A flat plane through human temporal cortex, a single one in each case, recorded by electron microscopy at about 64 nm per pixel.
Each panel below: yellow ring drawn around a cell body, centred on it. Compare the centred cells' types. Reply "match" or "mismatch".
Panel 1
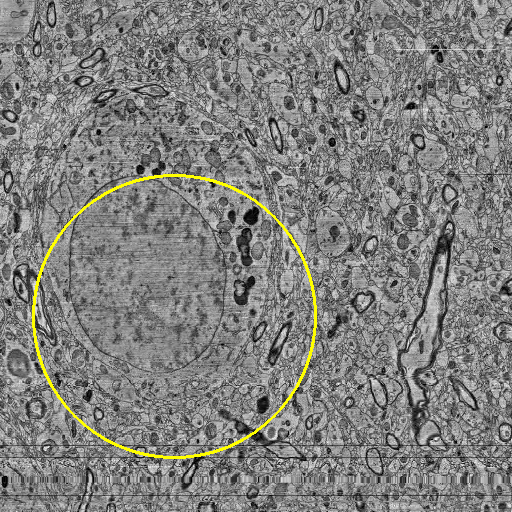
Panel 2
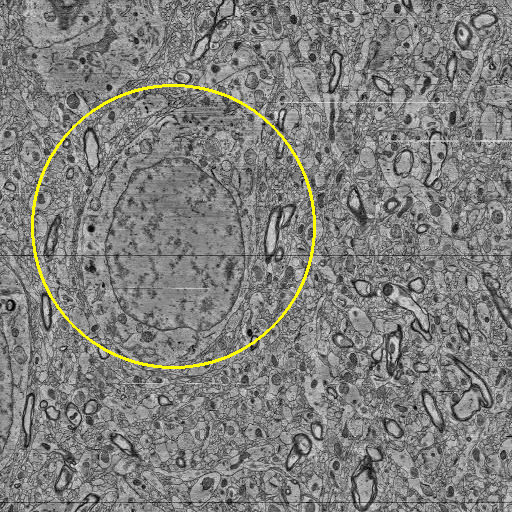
match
